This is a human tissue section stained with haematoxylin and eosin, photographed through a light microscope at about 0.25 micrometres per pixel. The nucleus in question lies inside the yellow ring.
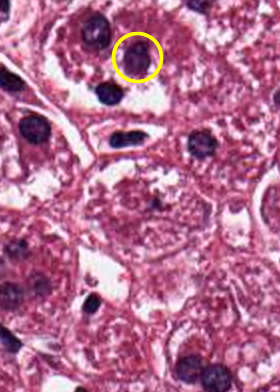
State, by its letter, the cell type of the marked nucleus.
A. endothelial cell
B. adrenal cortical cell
B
